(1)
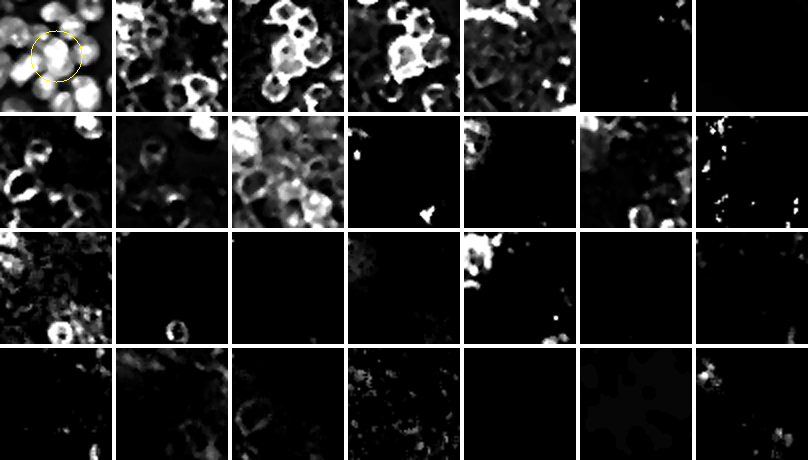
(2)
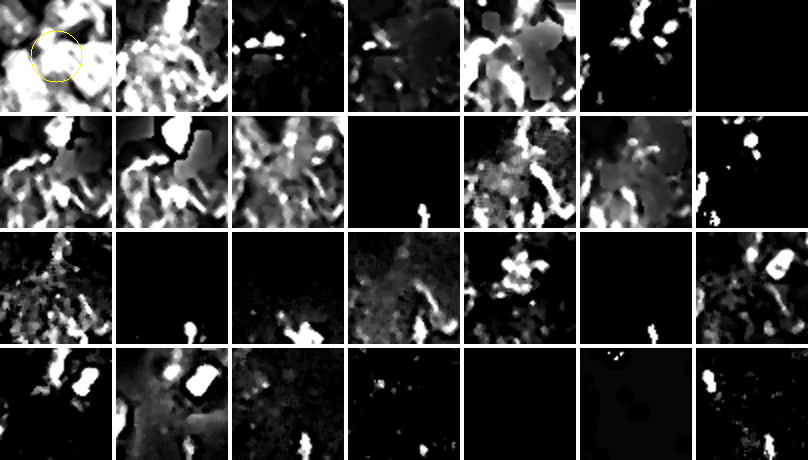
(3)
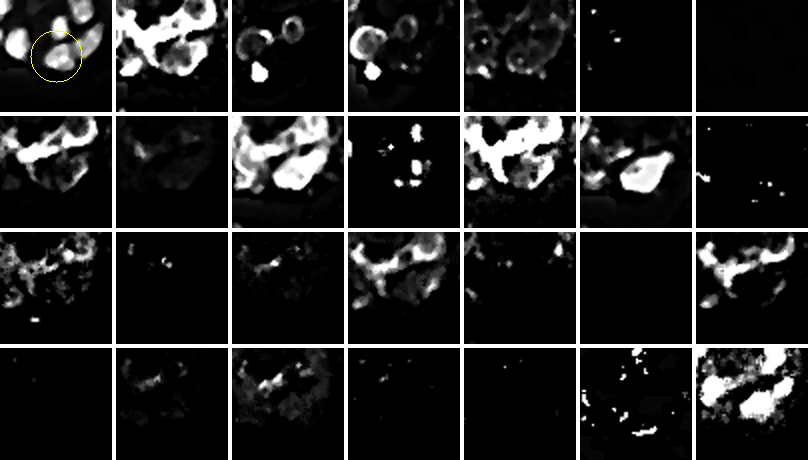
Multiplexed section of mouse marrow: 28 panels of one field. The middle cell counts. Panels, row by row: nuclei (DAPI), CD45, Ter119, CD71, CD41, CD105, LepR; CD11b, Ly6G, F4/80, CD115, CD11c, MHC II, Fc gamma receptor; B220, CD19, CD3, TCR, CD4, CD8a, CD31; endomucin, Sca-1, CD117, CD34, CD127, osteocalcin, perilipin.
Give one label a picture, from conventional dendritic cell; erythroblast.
1. erythroblast
2. conventional dendritic cell
3. conventional dendritic cell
